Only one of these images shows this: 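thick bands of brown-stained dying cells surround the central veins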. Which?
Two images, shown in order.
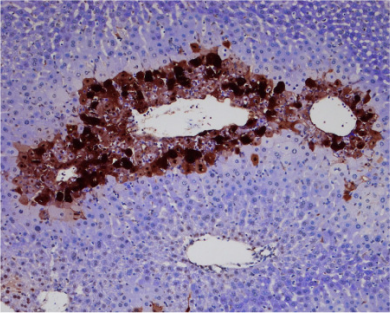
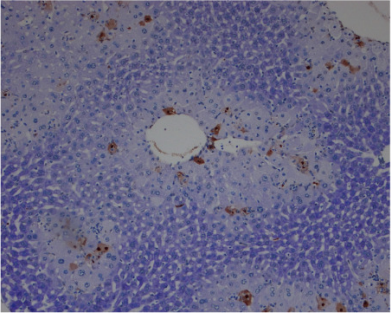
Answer: The first image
